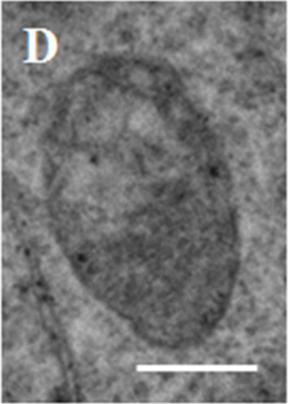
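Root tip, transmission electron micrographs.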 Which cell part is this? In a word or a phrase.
Mitochondria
